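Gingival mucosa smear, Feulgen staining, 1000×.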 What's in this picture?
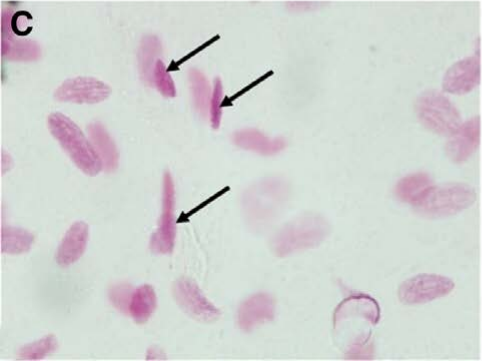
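The nuclei are oval to elongated and scattered singly or in small overlapping groups, while the cytoplasm around them is barely stained. Their chromatin looks finely granular and evenly distributed in most of them. A few nuclei carry a small, more intensely magenta, dense body at or beside one end, which stands out against the paler nuclear material. Some nuclei lie slightly out of focus and appear paler and blurred.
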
